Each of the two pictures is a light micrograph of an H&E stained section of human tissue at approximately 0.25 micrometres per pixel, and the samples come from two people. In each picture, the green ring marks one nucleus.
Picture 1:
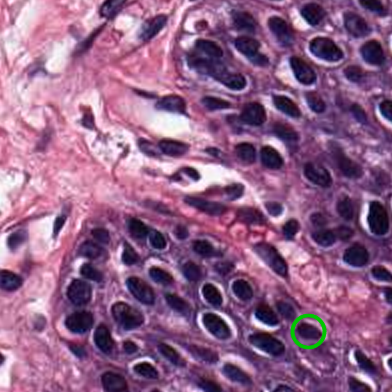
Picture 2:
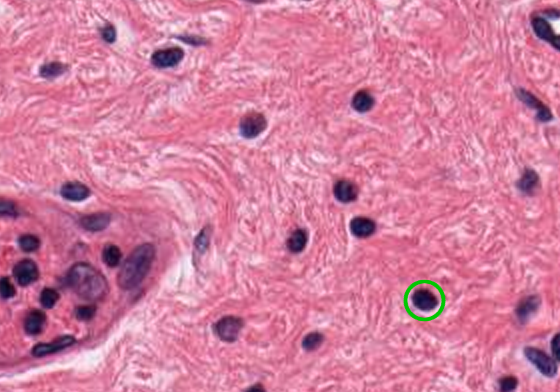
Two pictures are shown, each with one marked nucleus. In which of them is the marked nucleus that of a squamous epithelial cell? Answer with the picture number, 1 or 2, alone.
1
